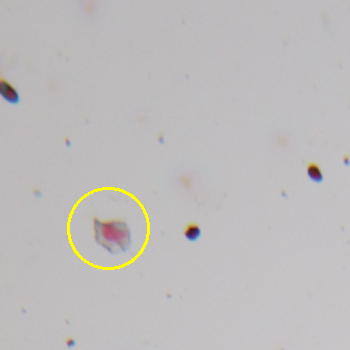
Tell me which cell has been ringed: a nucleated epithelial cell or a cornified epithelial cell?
It is a nucleated epithelial cell.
